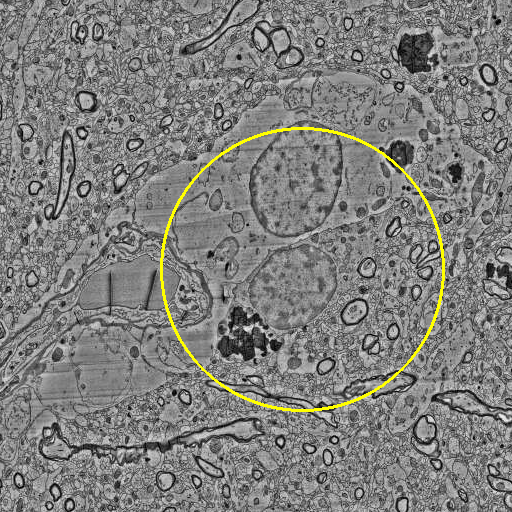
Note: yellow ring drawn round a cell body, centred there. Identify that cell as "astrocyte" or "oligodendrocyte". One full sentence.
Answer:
The cell in the middle of the ring is an oligodendrocyte.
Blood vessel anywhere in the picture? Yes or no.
Yes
